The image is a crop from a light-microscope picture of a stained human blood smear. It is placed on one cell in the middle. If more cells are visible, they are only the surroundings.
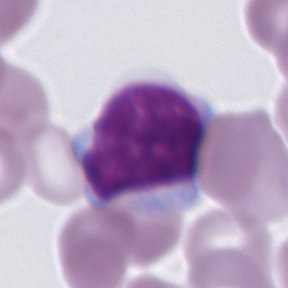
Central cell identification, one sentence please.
This crop's central cell is a large granular lymphocyte.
